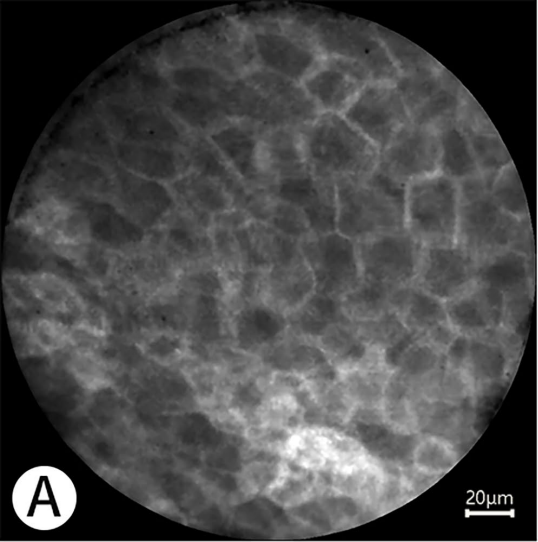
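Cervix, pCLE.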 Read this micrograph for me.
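Brighter, hazier areas lie toward the lower part of the field where the outlines blur. The regular polygonal pattern fits flattened squamous cells seen face-on.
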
